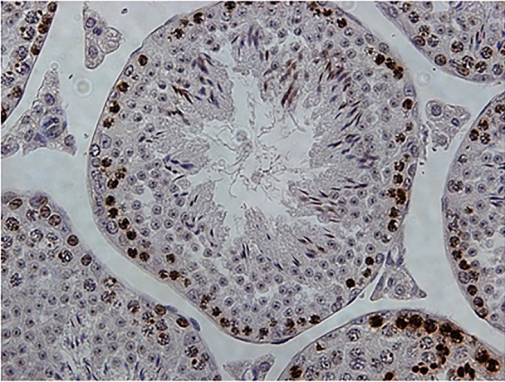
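Testis with seminiferous tubules cut in cross section, separated by narrow interstitial spaces. Each tubule is lined by several layers of germ cells with round nuclei. Intensely dark brown nuclei lie mainly in the basal row along the tubule wall, sometimes in clusters. Cells of the inner layers have round blue nuclei without brown stain. Elongated dark spermatid heads lie toward the lumen, which holds pale, fine tails.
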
